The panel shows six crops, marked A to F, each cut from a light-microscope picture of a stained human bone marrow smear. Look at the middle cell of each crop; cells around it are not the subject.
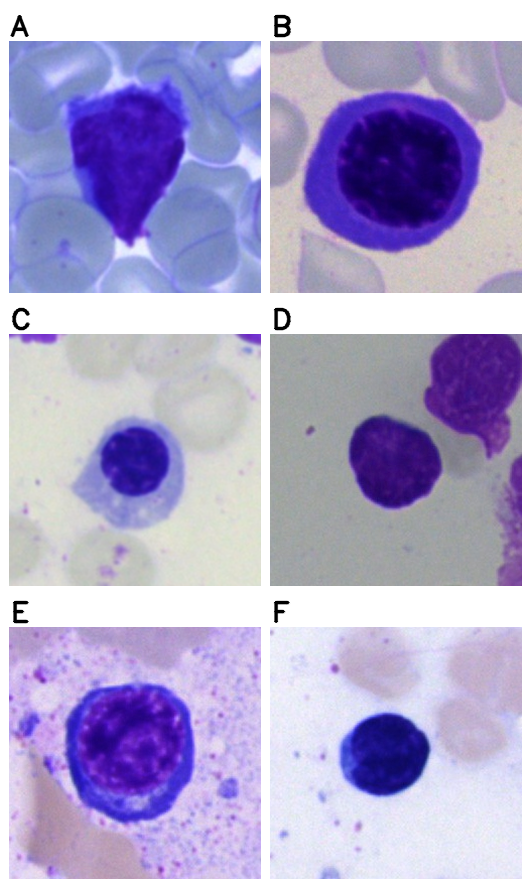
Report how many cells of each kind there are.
lymphocyte: 3
erythroblast: 3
